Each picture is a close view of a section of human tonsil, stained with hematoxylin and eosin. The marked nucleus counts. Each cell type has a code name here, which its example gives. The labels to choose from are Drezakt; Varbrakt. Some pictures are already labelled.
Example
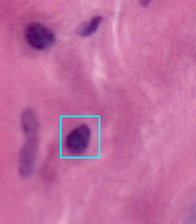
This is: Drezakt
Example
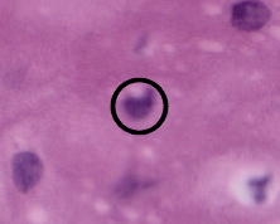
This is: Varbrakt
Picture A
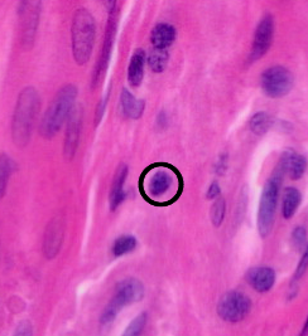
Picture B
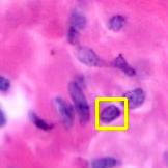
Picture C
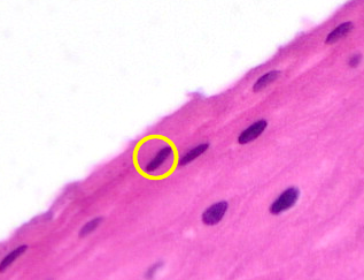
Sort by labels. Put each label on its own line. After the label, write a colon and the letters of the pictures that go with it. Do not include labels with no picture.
Drezakt: A, B
Varbrakt: C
